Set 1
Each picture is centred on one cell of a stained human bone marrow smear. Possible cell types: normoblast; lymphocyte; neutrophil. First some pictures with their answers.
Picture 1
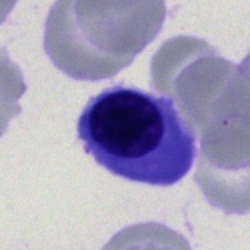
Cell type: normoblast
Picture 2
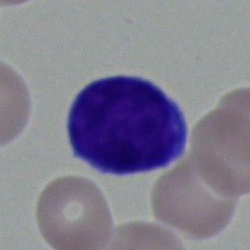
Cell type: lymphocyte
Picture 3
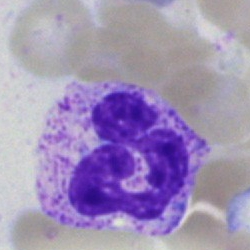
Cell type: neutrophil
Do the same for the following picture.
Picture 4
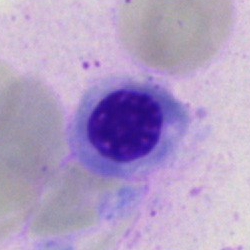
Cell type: normoblast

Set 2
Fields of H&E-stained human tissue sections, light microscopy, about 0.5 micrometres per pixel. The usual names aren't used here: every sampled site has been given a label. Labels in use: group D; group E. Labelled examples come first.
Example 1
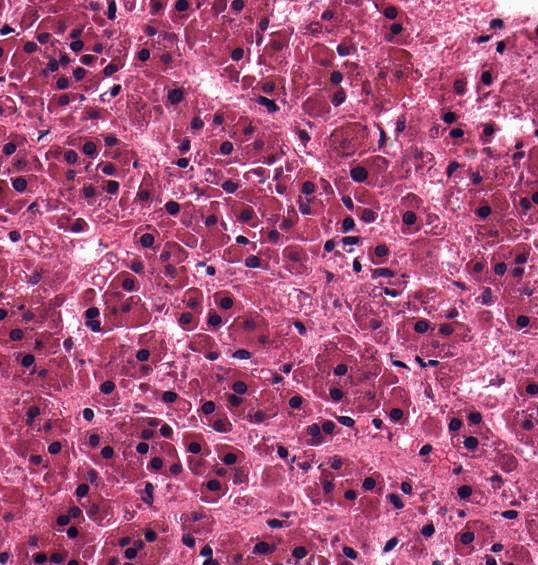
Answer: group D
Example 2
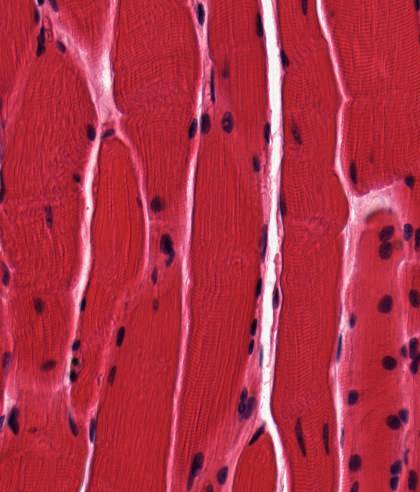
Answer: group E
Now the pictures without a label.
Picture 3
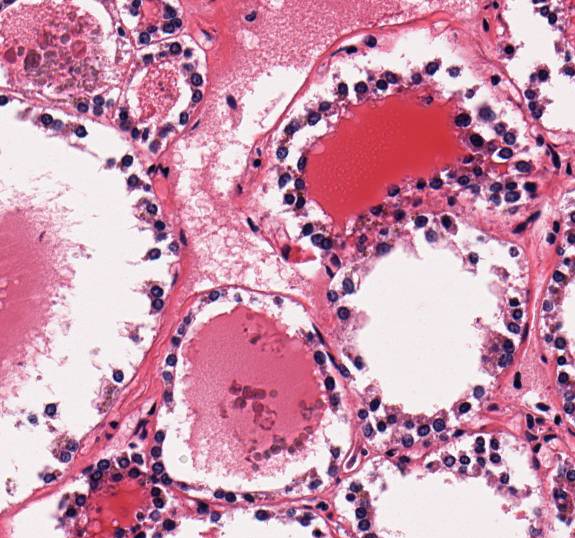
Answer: group E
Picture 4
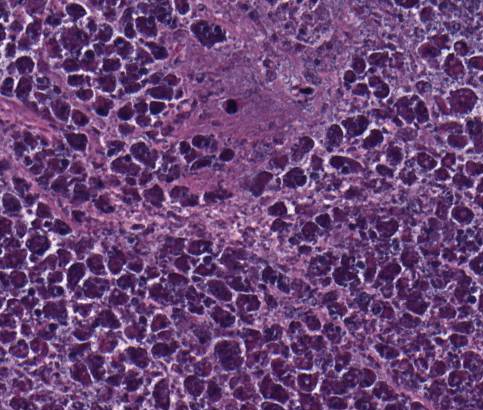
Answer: group D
